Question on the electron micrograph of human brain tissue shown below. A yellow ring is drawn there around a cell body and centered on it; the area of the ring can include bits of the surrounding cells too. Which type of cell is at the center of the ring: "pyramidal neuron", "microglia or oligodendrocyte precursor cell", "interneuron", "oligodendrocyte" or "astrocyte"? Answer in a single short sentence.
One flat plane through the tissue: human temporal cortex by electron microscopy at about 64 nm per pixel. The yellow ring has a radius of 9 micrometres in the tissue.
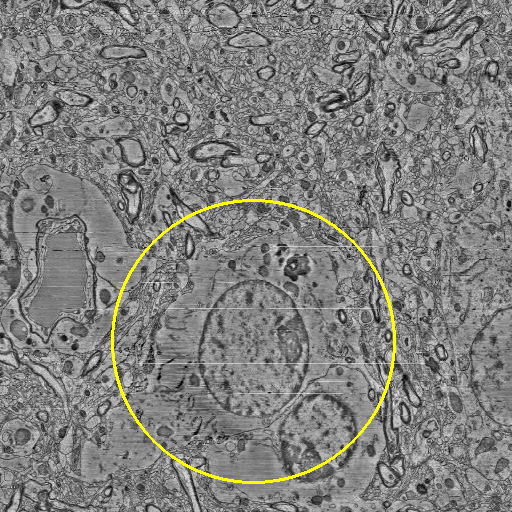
The ring is centered on an astrocyte.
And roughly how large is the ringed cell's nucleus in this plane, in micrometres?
Approximately 9 by 7 micrometers in this plane.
